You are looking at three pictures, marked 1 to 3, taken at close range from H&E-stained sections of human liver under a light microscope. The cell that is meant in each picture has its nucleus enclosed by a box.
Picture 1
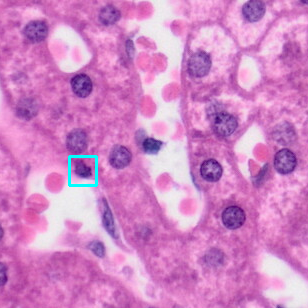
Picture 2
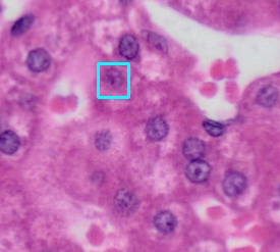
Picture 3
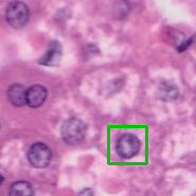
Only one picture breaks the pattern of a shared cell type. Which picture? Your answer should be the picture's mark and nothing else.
1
